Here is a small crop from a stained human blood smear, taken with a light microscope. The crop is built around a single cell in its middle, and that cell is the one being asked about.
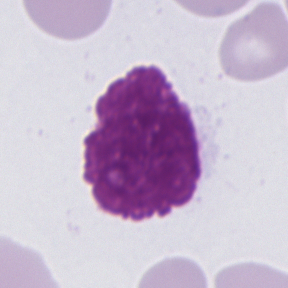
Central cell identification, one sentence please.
Classification of the middle cell gives a smudge cell.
